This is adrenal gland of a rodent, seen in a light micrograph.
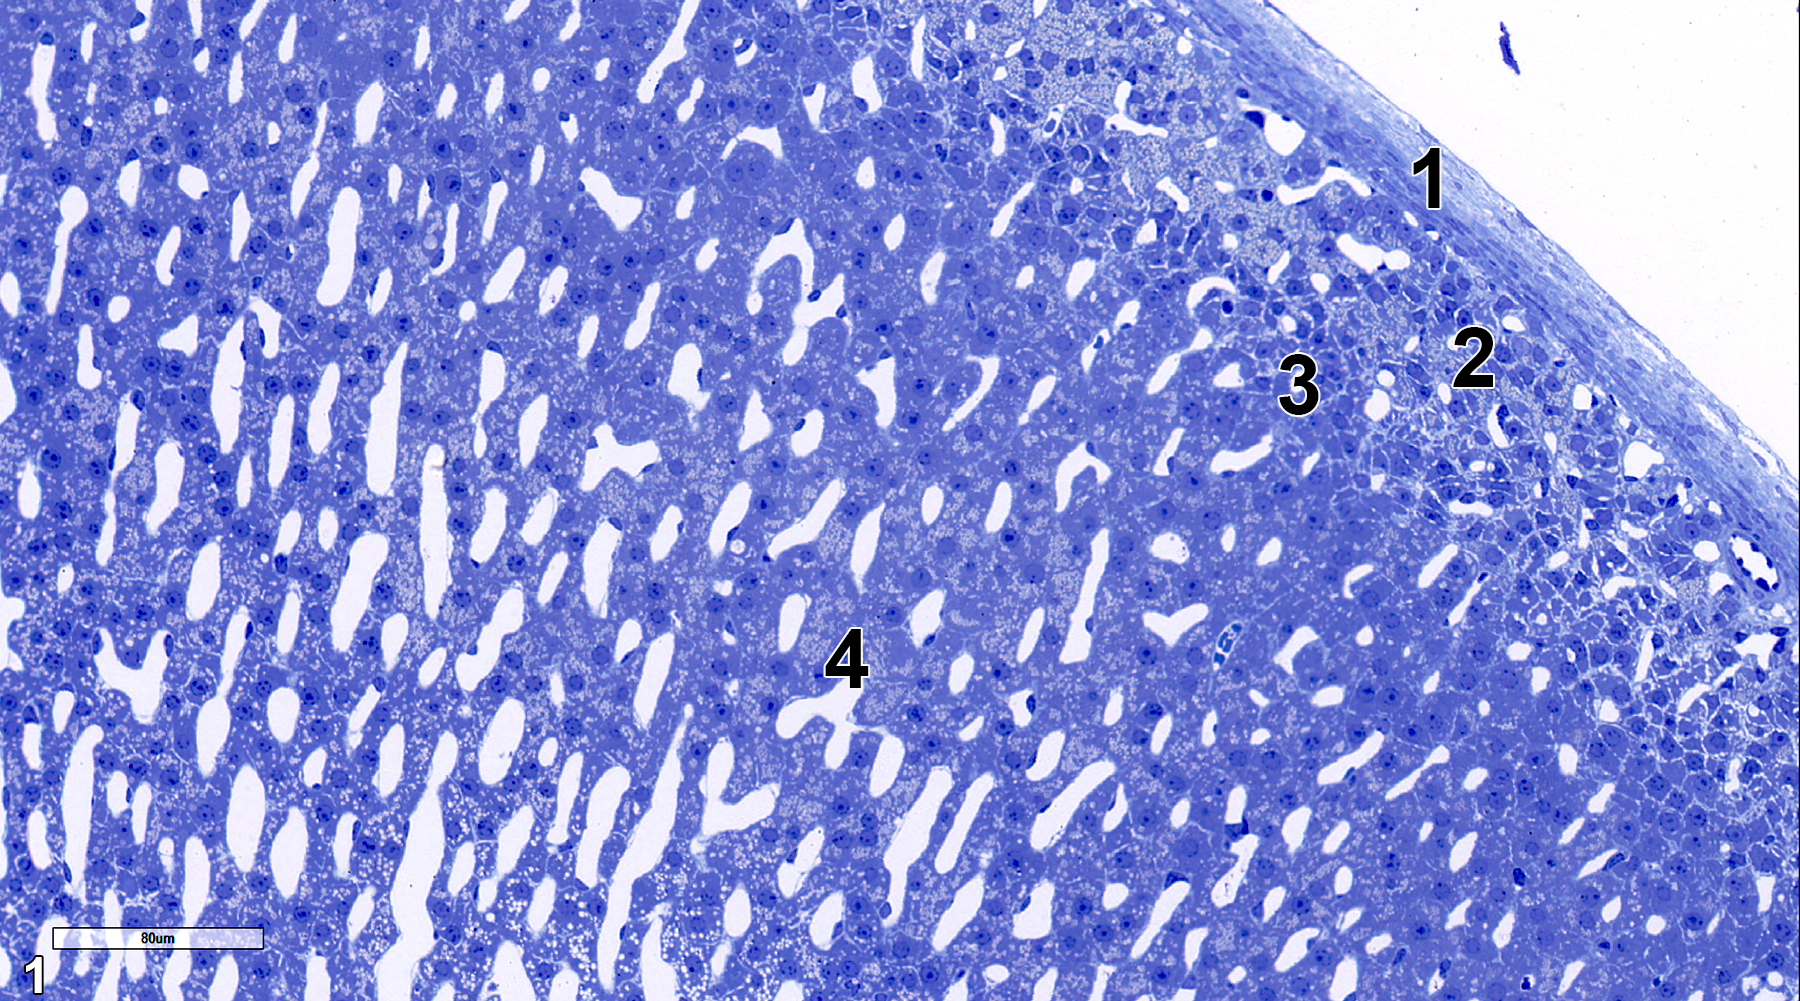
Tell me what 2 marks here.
At 2: zona glomerulosa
